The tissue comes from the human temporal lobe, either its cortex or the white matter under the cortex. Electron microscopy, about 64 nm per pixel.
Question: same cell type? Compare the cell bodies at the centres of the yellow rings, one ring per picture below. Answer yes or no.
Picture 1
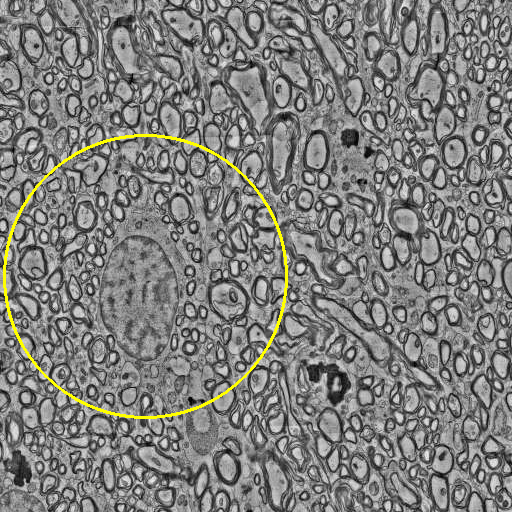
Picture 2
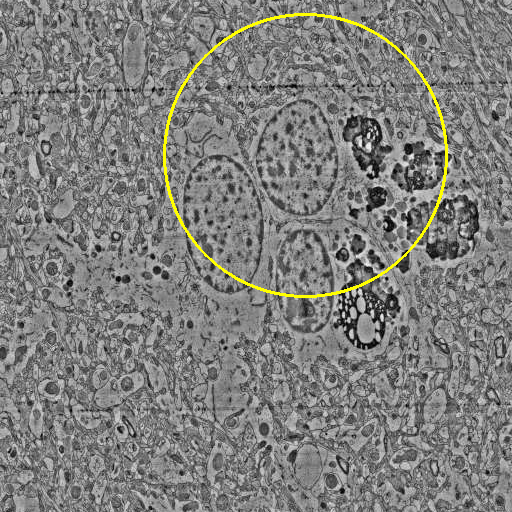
no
